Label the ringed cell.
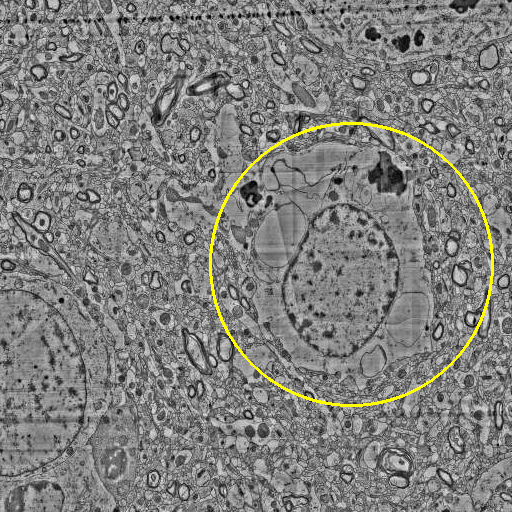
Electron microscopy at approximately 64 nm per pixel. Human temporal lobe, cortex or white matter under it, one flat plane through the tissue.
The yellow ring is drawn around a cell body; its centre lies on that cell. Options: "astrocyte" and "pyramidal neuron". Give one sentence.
The ringed cell is an astrocyte.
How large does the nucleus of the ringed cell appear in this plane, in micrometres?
The nucleus is approximately 10 micrometers long by 8 micrometers wide in this plane.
